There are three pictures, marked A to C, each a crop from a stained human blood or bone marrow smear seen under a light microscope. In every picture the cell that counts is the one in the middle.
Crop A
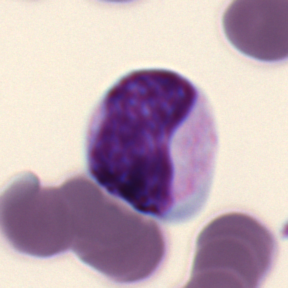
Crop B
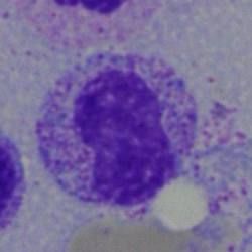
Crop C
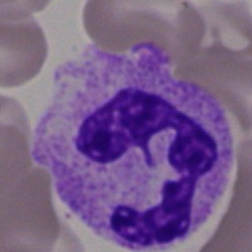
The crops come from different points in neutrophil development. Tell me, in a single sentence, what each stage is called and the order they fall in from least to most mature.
Placed in order from least to most mature, they run crop B (a metamyelocyte), crop A (a band neutrophil) and crop C (a segmented neutrophil).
